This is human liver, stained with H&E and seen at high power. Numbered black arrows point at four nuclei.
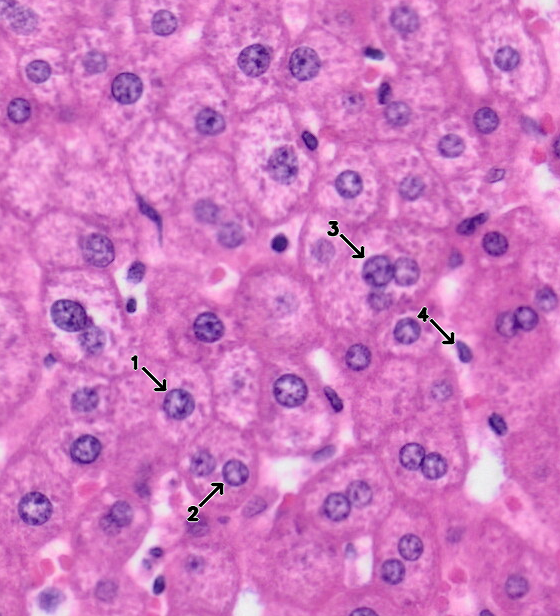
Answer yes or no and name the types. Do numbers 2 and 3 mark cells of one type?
Yes, both are hepatocytes.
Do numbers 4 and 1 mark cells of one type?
No, cell 4 is a lymphocyte and cell 1 is a hepatocyte.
